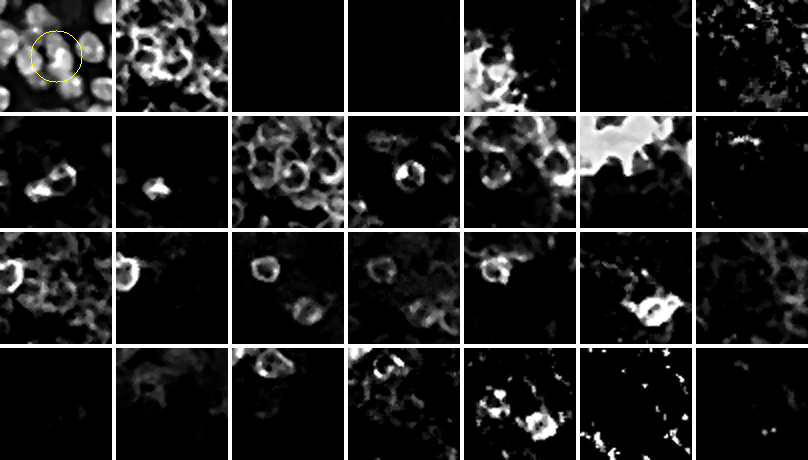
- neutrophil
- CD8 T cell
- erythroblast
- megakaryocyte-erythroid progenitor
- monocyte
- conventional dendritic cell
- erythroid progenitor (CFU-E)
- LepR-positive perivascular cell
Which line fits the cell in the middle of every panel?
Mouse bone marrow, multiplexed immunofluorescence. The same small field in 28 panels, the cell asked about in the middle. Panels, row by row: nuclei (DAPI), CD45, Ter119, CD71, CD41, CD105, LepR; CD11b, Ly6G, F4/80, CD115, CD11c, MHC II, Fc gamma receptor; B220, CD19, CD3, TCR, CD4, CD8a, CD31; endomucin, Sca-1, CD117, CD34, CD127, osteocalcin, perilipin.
monocyte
